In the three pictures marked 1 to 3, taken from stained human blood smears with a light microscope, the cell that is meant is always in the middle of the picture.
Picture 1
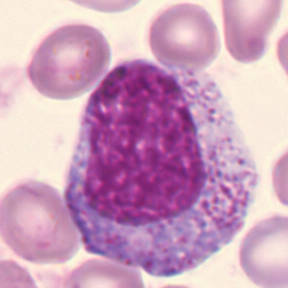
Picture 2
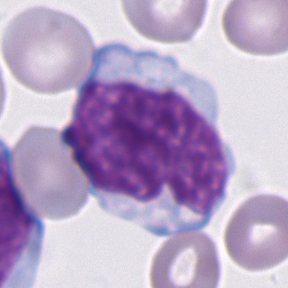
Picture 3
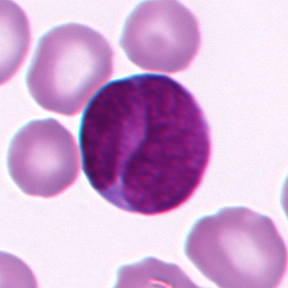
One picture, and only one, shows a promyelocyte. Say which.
1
